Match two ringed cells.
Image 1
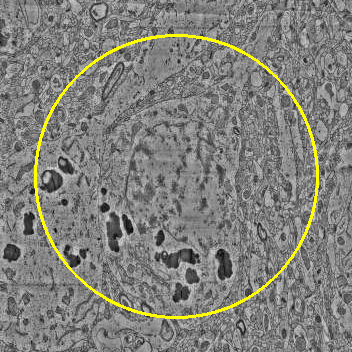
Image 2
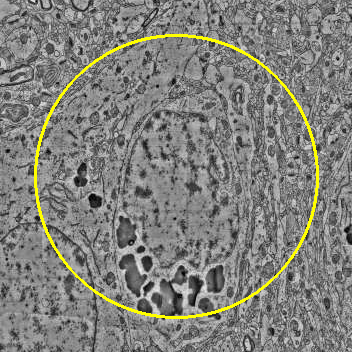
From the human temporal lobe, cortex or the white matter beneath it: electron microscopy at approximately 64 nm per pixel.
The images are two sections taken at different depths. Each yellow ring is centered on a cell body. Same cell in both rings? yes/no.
yes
